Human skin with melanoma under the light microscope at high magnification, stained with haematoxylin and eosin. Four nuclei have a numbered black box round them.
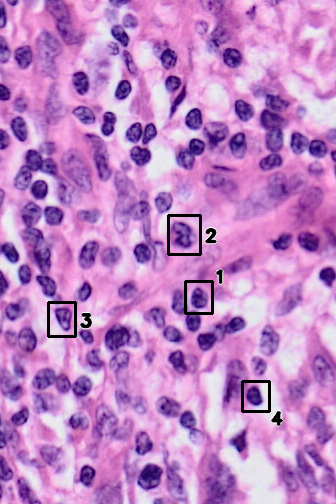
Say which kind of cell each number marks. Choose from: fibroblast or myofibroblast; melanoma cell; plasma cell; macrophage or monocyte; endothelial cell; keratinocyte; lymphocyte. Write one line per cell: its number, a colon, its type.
1: lymphocyte
2: plasma cell
3: lymphocyte
4: lymphocyte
